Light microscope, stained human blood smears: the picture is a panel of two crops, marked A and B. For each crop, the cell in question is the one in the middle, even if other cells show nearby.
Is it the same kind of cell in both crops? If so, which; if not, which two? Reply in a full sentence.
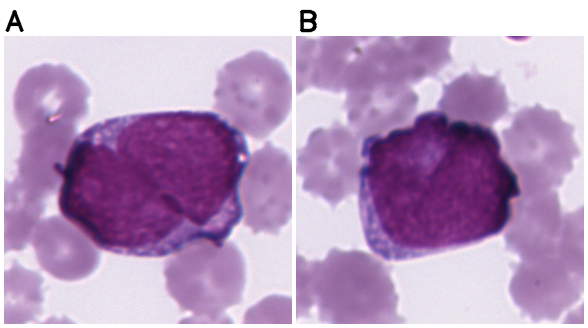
Yes, both crops show myeloblasts, to put it briefly.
